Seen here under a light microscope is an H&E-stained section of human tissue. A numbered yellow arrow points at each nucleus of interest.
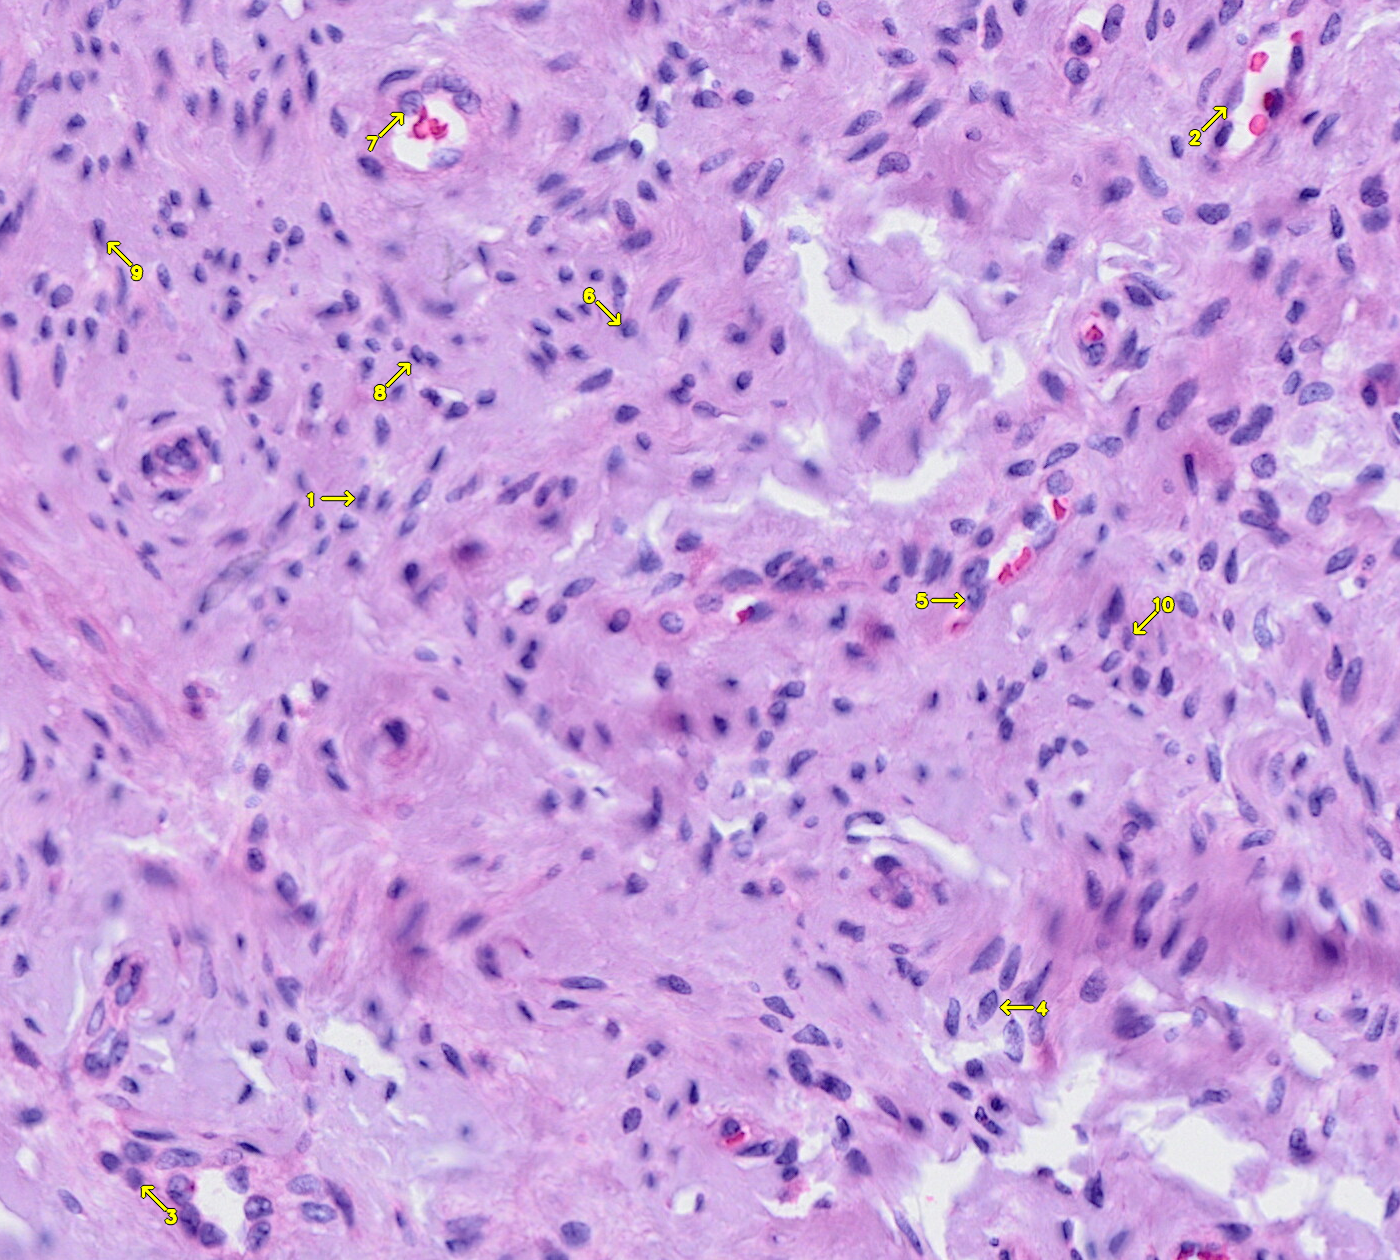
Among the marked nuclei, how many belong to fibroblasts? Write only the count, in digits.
6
